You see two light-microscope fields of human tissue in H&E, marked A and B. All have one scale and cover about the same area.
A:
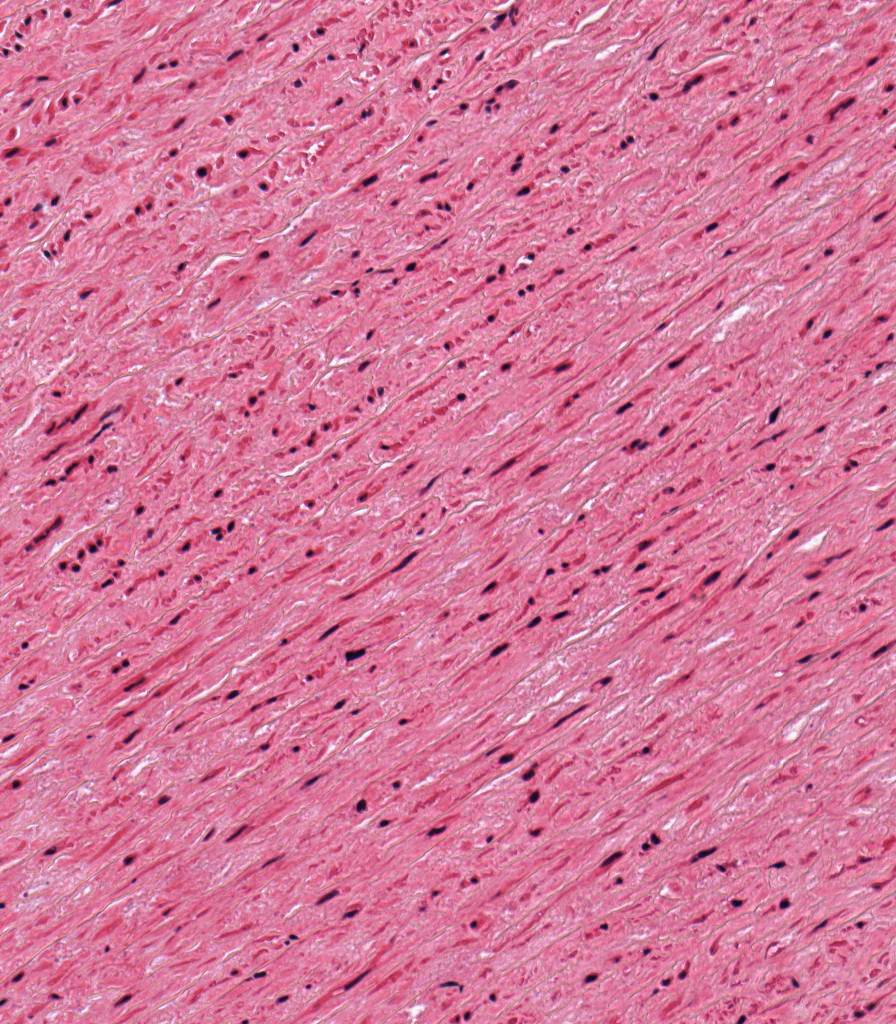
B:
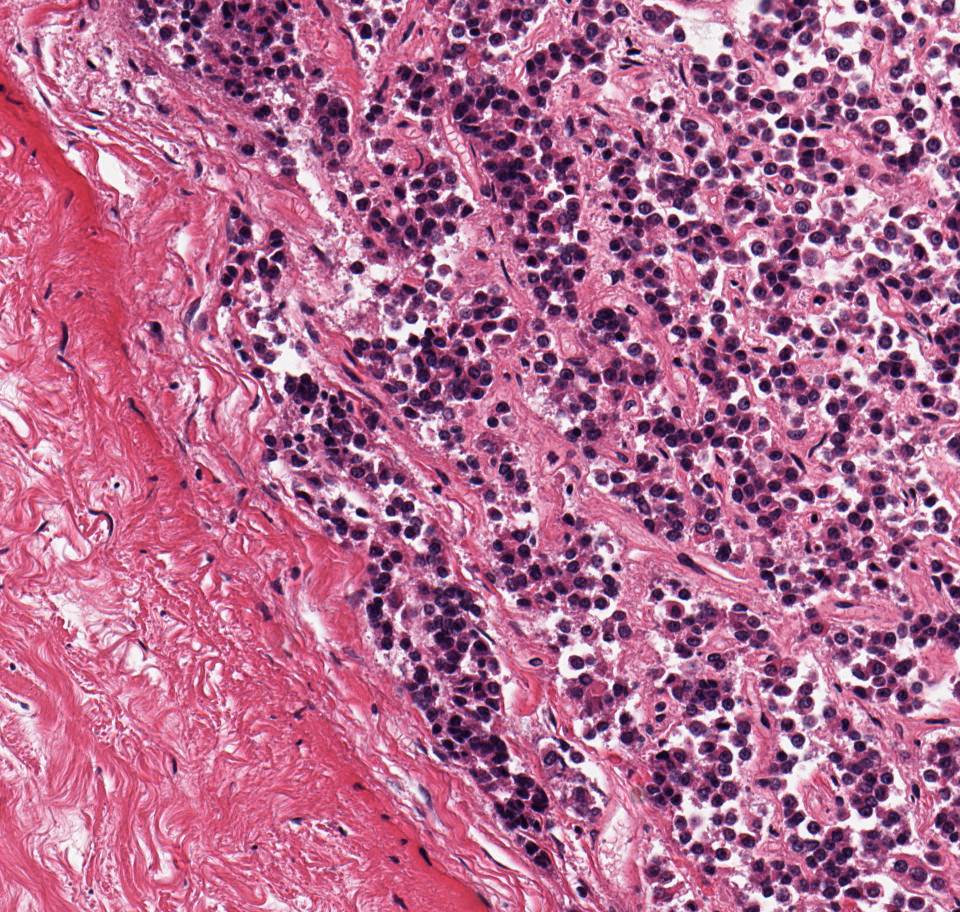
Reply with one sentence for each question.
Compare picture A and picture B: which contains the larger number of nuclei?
More nuclei lie in picture B than in picture A.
